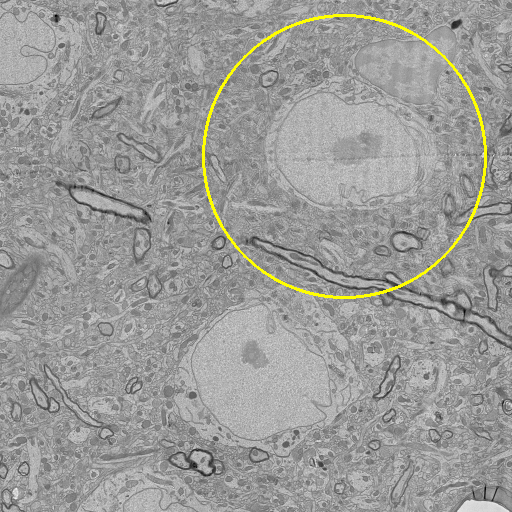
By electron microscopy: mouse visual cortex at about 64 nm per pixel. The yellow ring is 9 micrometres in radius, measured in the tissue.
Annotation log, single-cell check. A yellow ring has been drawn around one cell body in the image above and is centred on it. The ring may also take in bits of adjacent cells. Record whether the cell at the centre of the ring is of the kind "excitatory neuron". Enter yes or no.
no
